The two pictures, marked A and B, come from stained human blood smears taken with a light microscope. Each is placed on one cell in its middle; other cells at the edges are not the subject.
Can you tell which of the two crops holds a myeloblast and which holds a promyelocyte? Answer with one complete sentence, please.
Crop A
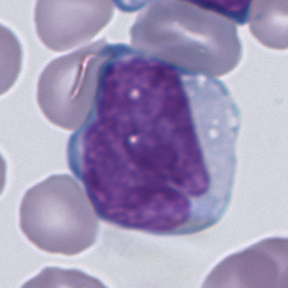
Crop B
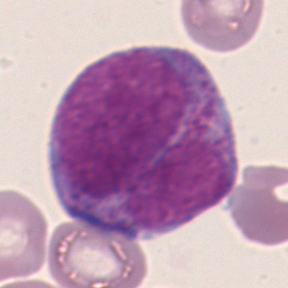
The cell centred in crop A is a myeloblast, and the one centred in crop B is a promyelocyte.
